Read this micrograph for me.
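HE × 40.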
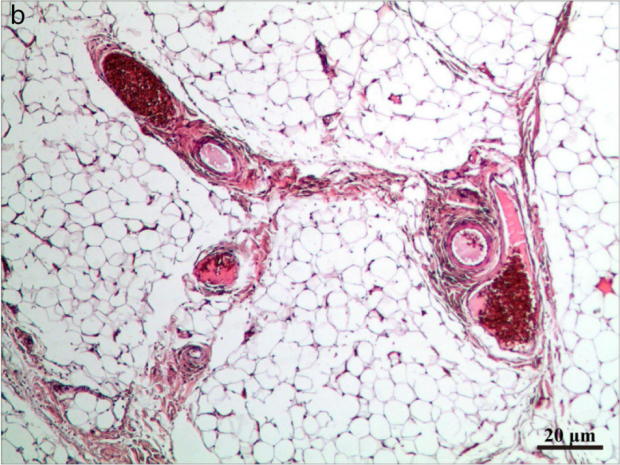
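This is fatty tissue at low magnification, made of mature adipocytes with small vessels running among them. Thin pink fibrous strands cross the field and divide the fat into lobules. Along these strands lie several small vessels, some seen in cross section with a thick pink wall, others stuffed with dark red blood cells. The vessels cluster in the fibrous strands rather than deep among the fat cells.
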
